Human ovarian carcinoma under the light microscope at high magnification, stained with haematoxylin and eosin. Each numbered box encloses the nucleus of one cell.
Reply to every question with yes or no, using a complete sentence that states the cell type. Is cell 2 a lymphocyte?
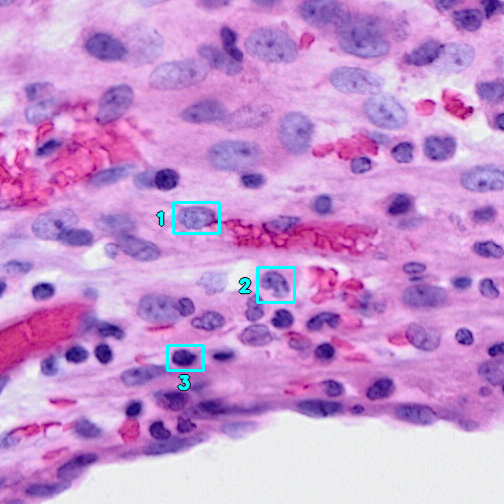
No, cell 2 is identified not as a lymphocyte but as a macrophage or monocyte.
